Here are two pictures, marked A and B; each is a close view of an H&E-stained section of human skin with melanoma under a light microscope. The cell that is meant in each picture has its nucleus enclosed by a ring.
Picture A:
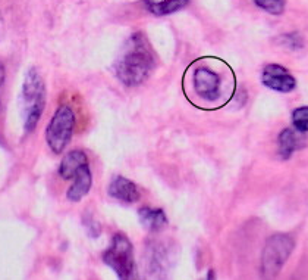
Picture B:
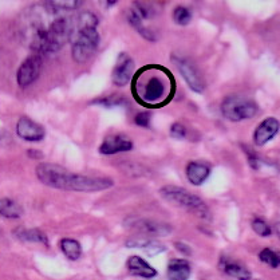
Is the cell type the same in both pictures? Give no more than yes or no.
no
